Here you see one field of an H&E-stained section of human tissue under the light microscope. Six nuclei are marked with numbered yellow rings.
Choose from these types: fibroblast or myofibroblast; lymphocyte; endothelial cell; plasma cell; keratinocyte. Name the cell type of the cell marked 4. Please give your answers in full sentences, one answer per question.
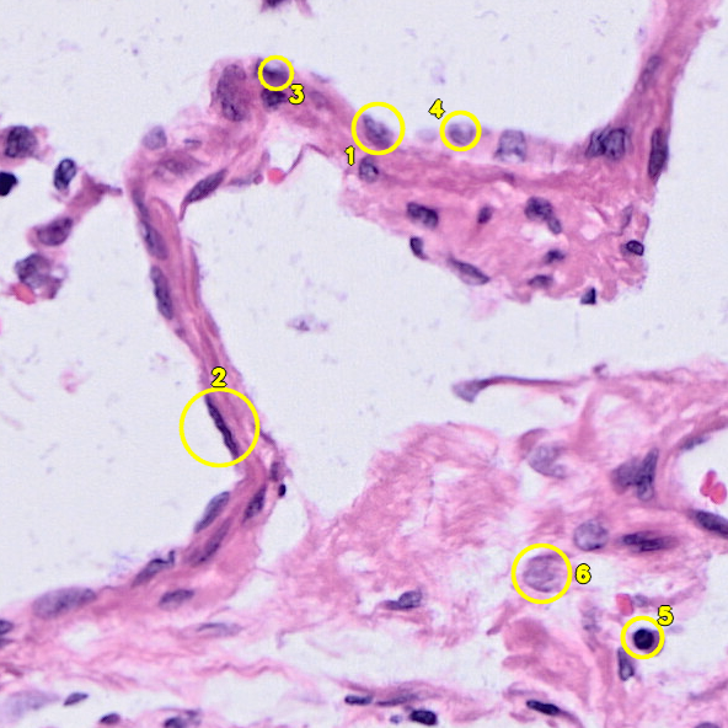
In the marked set, the cell given number 4 is an endothelial cell.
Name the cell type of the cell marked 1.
The cell assigned the number 1 is an endothelial cell.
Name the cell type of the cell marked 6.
Among the marked cells, number 6 is a fibroblast or myofibroblast.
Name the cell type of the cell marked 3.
The cell identified by number 3 is an endothelial cell.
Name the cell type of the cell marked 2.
The nucleus with number 2 is that of an endothelial cell.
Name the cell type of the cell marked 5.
Marked with the number 5, this cell is a plasma cell.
